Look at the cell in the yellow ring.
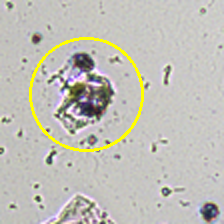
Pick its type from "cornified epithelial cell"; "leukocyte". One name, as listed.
cornified epithelial cell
